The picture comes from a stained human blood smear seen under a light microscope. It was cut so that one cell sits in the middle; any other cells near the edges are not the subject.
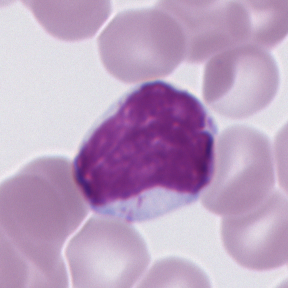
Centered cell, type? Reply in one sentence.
For this crop, the central cell is a large granular lymphocyte.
